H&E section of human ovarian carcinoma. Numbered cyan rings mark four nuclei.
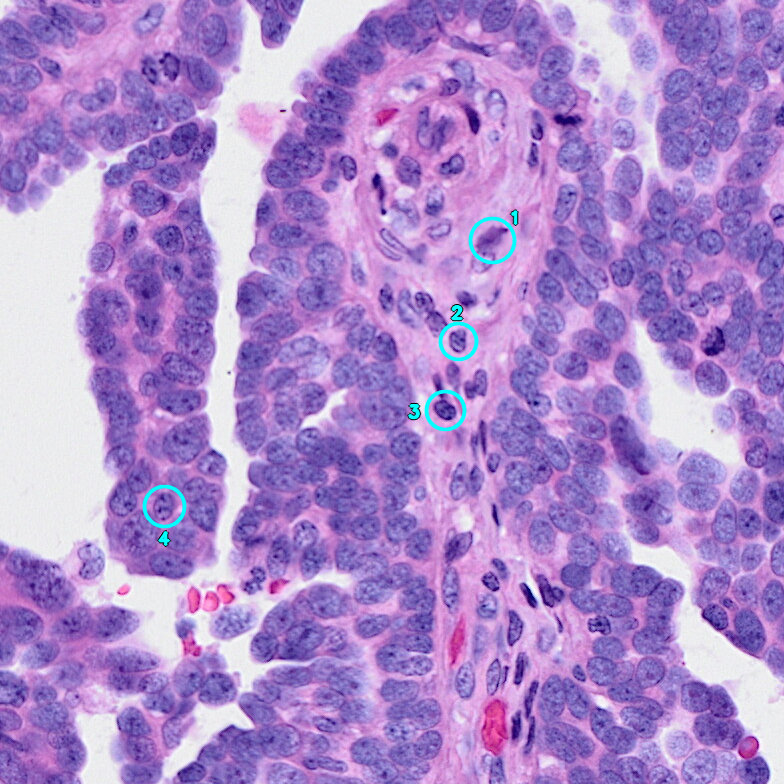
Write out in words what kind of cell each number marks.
Cell 1 is a fibroblast. Cells 2 and 3 are lymphocytes. Cell 4 is a macrophage or monocyte.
